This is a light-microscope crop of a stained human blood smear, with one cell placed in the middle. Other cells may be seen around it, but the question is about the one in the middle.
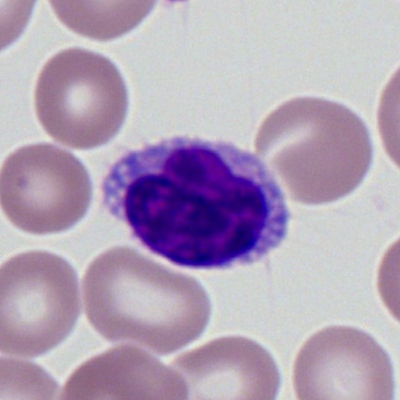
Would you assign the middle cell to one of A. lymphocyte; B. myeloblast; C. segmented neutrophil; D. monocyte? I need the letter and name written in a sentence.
Option A correctly names the cell in the middle as a lymphocyte.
